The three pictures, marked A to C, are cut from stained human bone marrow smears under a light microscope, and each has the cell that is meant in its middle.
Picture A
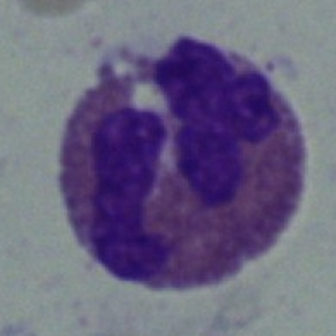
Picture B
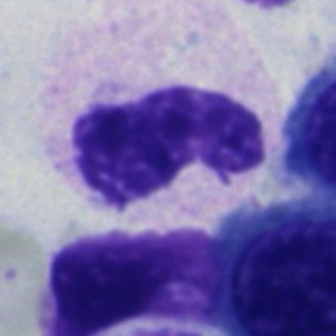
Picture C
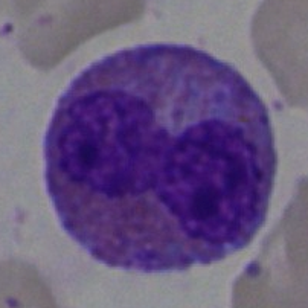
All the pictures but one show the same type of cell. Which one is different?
B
